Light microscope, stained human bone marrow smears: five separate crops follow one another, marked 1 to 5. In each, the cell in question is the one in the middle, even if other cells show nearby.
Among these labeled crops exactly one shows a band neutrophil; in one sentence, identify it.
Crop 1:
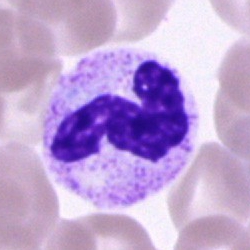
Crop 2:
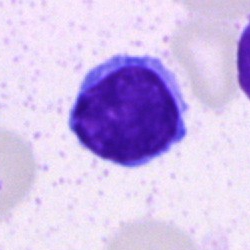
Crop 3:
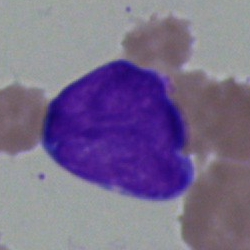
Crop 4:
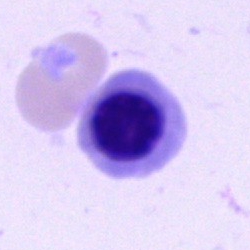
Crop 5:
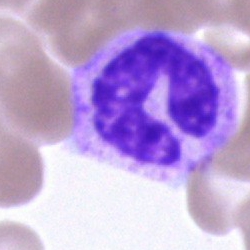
The crop that has a band neutrophil in the middle is crop 5.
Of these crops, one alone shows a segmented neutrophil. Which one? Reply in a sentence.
Crop 1 represents a segmented neutrophil, while the other crops do not.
